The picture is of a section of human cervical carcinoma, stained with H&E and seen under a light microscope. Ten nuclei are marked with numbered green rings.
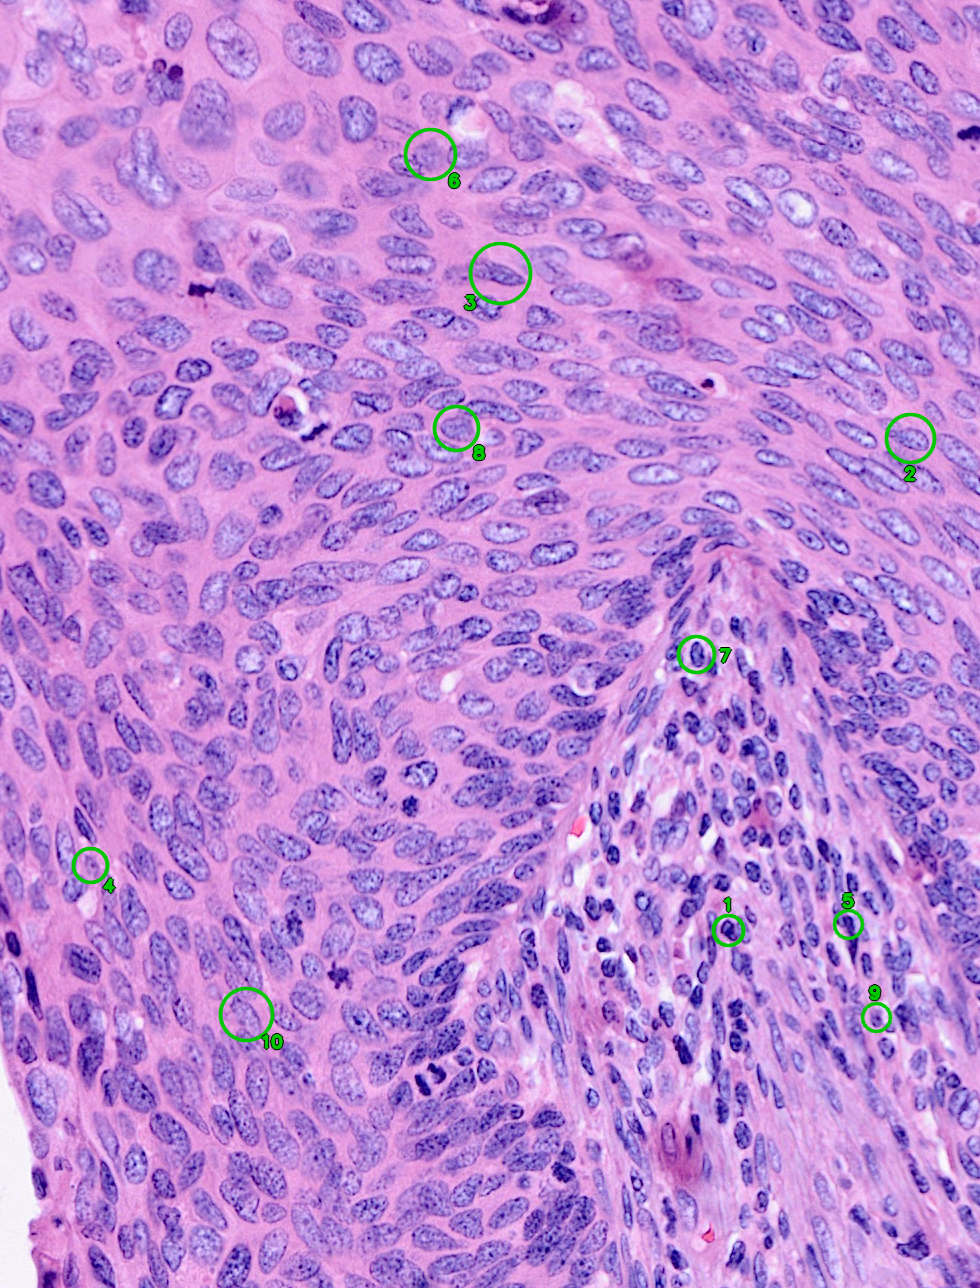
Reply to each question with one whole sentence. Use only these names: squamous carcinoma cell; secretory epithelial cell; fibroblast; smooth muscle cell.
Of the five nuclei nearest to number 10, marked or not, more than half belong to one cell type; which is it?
Squamous carcinoma cells make up most of the five nuclei closest to number 10.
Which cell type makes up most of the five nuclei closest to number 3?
Of the five nuclei nearest to number 3, most belong to squamous carcinoma cells.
